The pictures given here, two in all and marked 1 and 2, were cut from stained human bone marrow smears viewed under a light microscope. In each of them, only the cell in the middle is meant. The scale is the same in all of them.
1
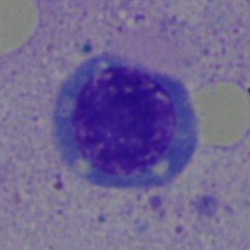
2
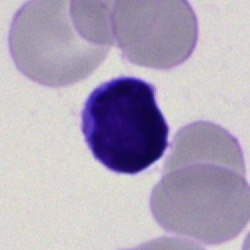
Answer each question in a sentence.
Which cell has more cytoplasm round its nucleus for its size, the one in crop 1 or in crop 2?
In crop 1 the nucleus takes up the smaller part of its cell.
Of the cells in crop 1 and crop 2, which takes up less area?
Smaller is the cell in crop 2, and the other is about 2 times as large in area.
